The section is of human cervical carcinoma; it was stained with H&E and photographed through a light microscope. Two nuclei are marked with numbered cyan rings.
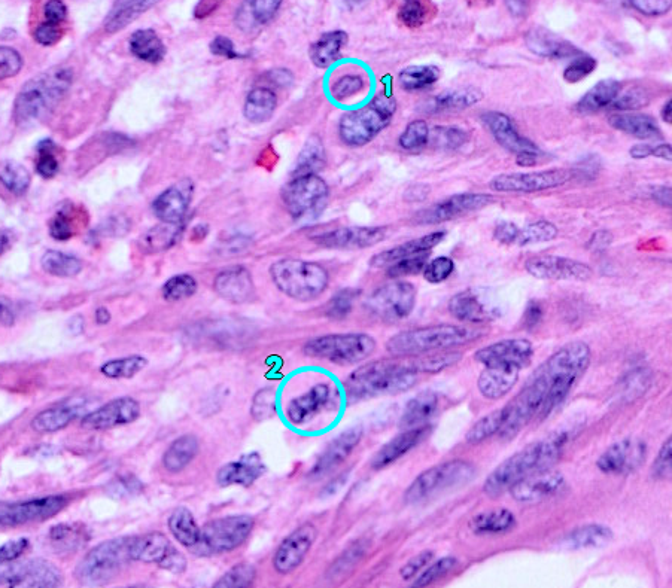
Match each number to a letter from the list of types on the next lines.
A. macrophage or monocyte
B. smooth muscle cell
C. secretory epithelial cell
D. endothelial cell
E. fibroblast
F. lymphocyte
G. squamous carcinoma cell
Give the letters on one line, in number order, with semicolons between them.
D; F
